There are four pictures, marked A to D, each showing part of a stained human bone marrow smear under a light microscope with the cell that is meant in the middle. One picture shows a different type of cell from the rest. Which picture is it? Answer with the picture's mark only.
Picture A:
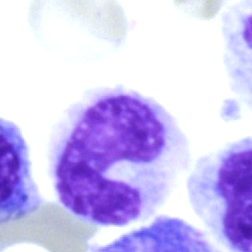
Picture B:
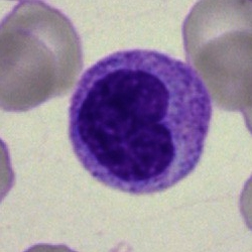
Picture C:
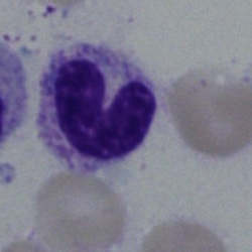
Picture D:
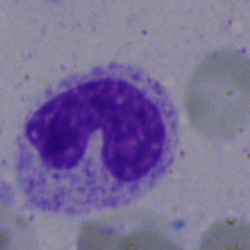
B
